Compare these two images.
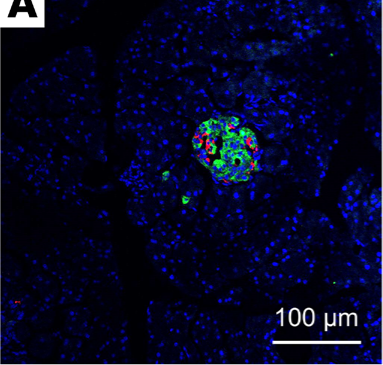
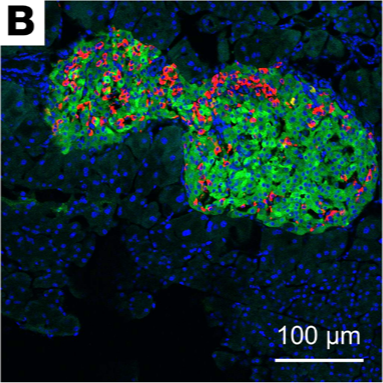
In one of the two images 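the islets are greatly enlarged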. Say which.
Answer: The second image.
